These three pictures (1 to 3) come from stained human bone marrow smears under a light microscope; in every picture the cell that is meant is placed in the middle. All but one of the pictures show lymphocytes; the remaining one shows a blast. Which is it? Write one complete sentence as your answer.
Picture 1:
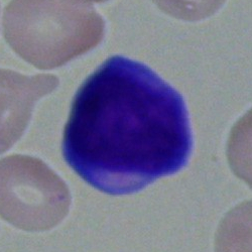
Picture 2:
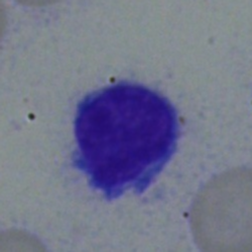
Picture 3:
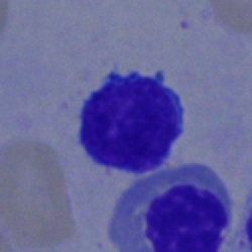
The cell in picture 1 is the blast.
